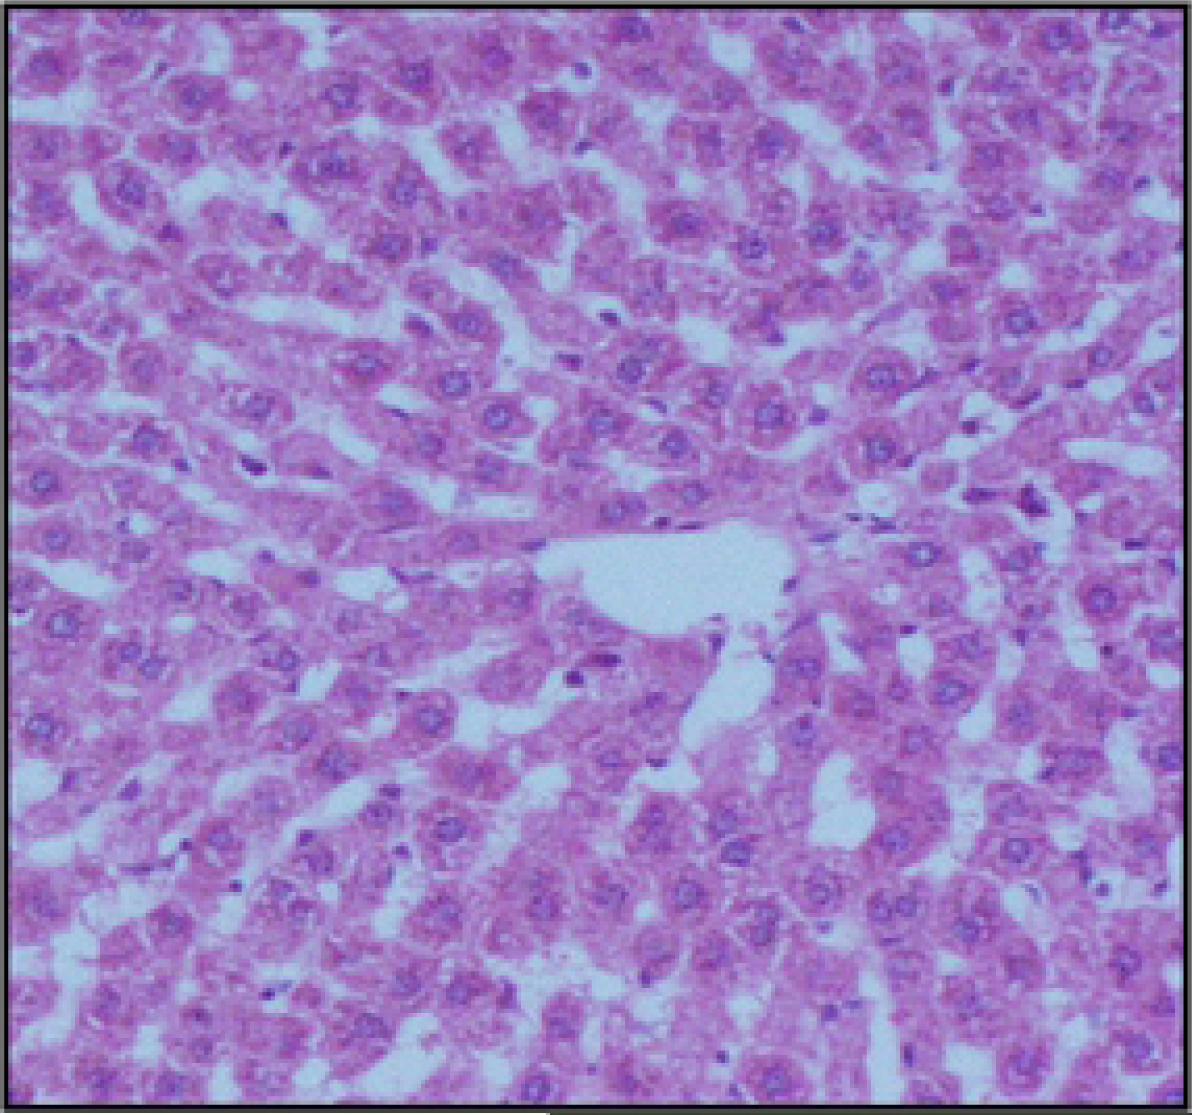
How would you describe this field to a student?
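This is liver tissue with hepatocytes arranged in orderly cords that radiate outward from a central open vessel lumen. The hepatocytes are polygonal, with pink-purple granular cytoplasm and round, centrally placed nuclei, some showing a visible nucleolus. Between the cords run narrow, pale, empty-looking channels, the sinusoids, in which a few small, dark, flattened nuclei of lining cells can be seen.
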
